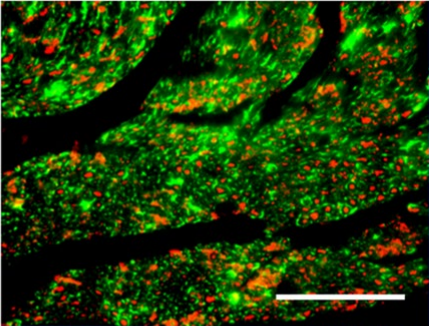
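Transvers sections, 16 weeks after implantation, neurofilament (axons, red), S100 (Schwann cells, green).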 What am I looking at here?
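The nerve is split into several large bundles, each densely packed with red and green, separated by dark bands where nothing is stained. Where red and green lie close together the colour runs to orange.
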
